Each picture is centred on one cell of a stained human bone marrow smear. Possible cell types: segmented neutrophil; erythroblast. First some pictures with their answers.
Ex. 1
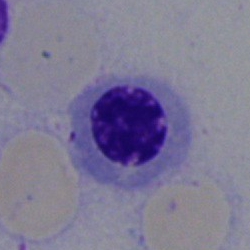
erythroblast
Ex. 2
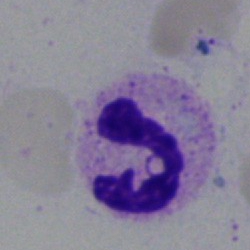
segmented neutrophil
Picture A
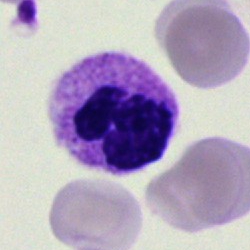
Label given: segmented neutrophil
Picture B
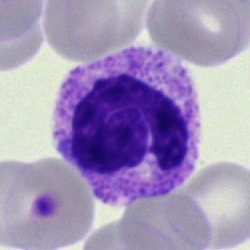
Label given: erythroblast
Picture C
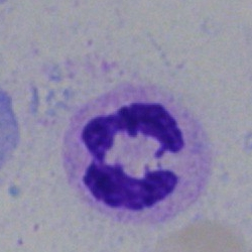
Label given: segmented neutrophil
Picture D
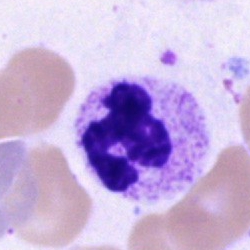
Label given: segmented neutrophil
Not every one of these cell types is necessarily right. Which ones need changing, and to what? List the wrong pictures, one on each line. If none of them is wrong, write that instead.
B: change erythroblast to segmented neutrophil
